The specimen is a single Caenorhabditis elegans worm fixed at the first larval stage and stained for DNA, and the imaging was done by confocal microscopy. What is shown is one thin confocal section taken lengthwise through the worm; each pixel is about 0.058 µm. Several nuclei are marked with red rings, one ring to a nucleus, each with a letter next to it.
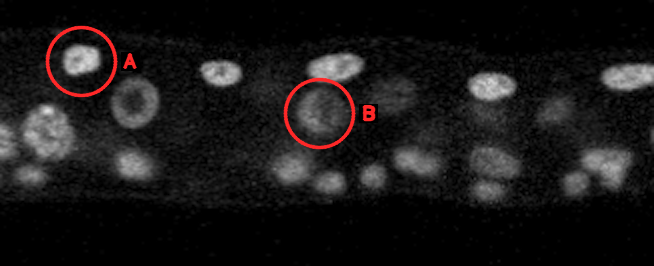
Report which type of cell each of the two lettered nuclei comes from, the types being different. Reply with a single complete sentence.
One is from a body wall muscle cell, namely A, and the other, B, is from an M mesoblast.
